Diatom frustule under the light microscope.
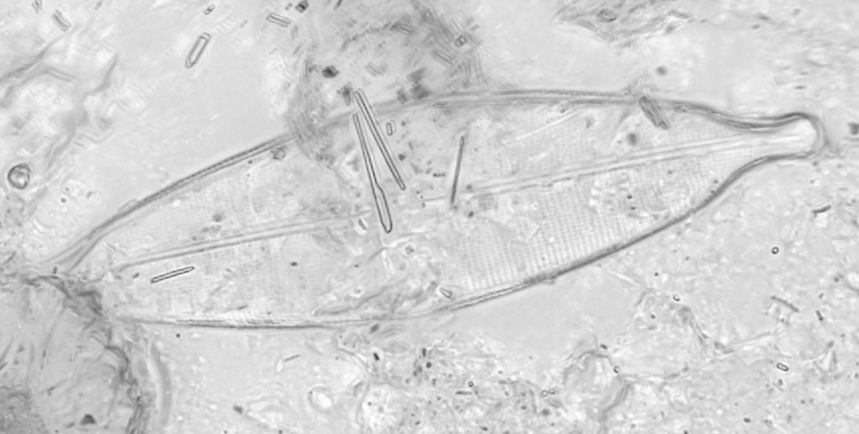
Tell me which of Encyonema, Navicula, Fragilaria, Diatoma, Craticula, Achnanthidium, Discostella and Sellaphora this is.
The picture shows Craticula.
